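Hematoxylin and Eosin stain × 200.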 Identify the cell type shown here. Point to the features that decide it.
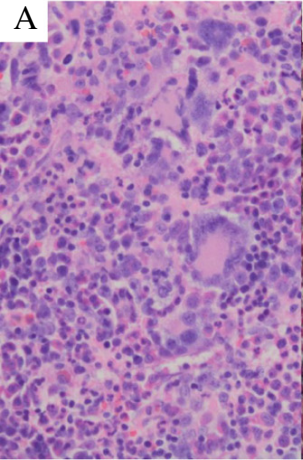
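Several very large cells with abundant pink cytoplasm stand among smaller marrow cells. The large cells have lobulated or multiple nuclei. That points to this answer: megakaryocytes.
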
